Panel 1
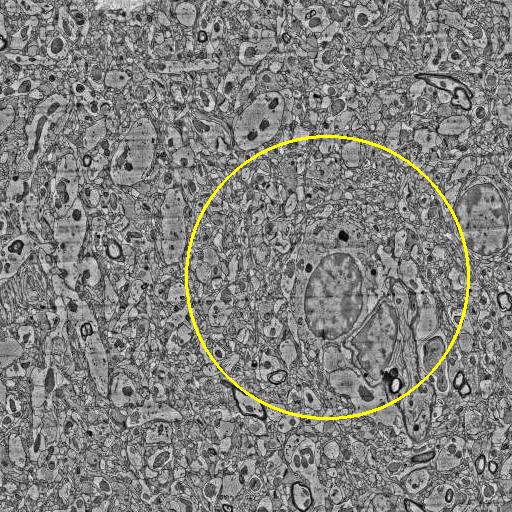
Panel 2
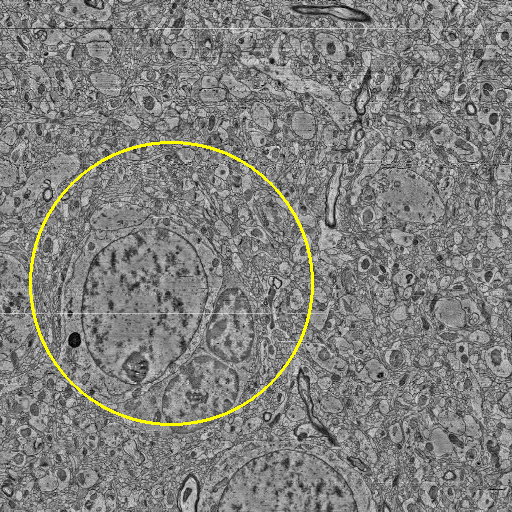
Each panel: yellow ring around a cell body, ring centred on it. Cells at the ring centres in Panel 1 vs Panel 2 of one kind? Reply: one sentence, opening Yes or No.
No, Panel 1 and Panel 2 have cells of two kinds at the ring centres.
